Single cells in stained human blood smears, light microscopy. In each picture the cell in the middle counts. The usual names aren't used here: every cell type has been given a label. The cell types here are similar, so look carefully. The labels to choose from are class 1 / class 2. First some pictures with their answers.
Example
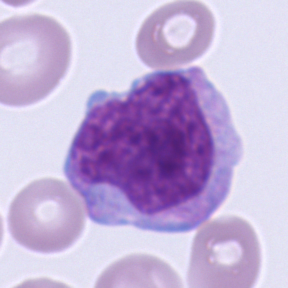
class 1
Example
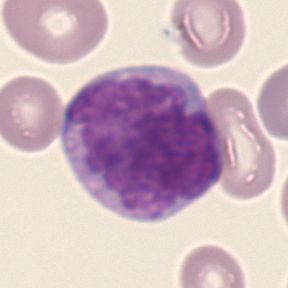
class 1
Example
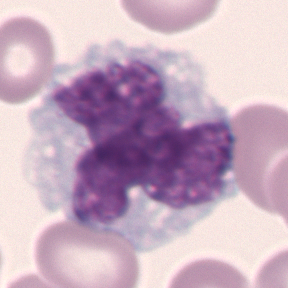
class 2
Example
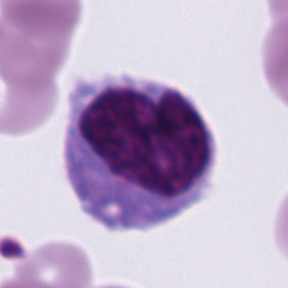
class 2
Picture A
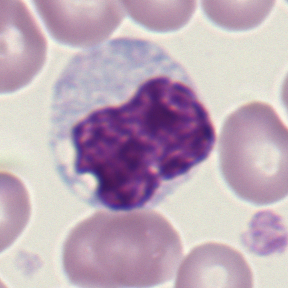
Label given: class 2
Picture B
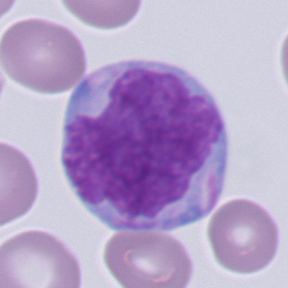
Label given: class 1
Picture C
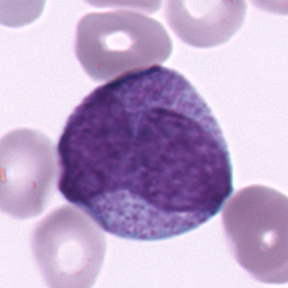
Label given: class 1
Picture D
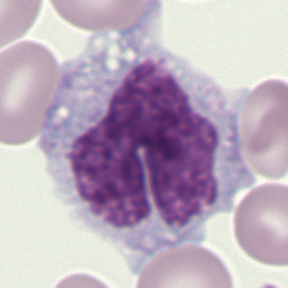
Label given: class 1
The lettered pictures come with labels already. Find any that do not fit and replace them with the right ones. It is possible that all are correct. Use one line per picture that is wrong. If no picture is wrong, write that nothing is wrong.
D: not class 1 but class 2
